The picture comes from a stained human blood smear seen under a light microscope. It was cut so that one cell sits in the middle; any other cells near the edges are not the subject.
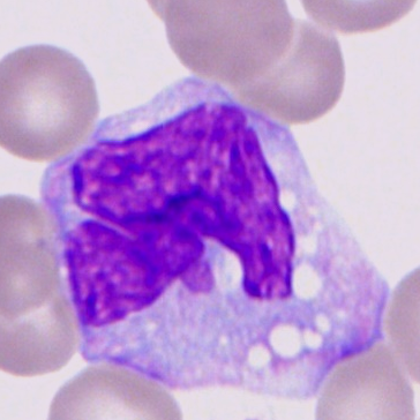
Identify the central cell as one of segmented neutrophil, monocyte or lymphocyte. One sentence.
Answering briefly, the cell in the middle is a monocyte.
